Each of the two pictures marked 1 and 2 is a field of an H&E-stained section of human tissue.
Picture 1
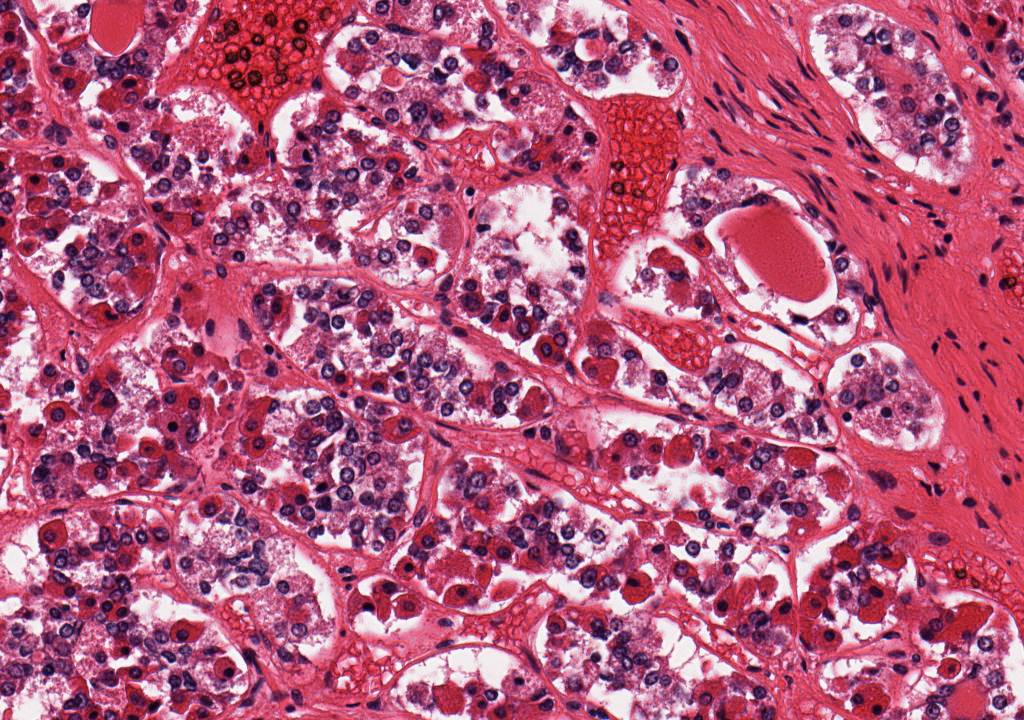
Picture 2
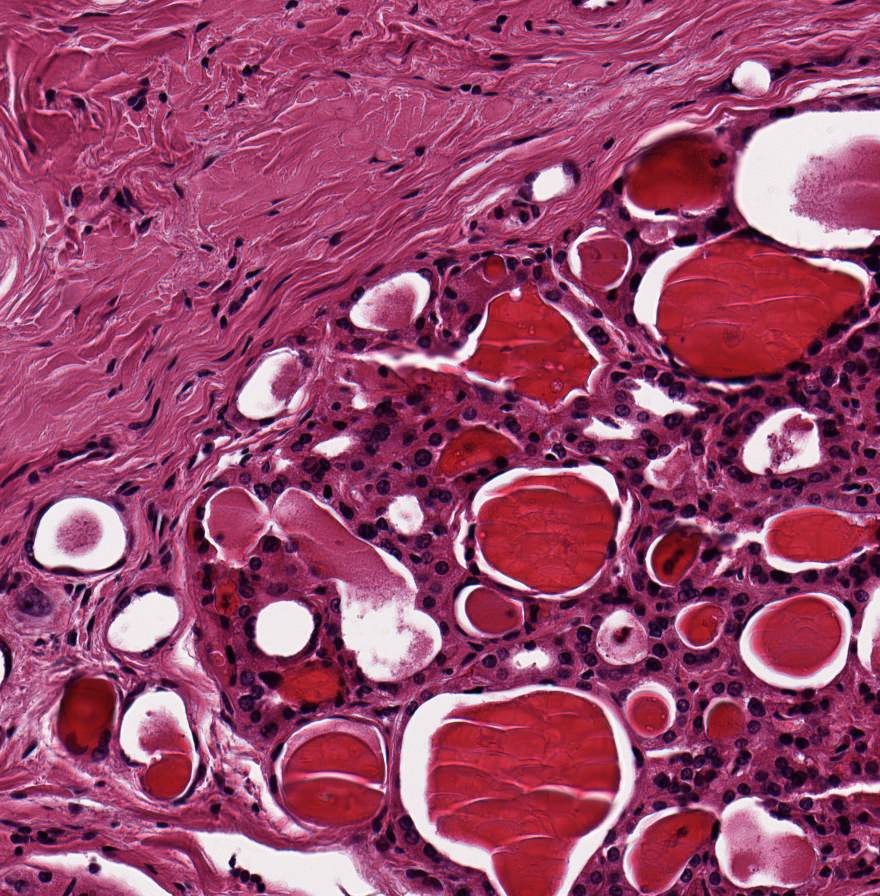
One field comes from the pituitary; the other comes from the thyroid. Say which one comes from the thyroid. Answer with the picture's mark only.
2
